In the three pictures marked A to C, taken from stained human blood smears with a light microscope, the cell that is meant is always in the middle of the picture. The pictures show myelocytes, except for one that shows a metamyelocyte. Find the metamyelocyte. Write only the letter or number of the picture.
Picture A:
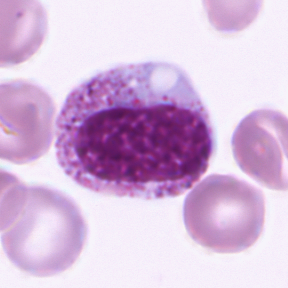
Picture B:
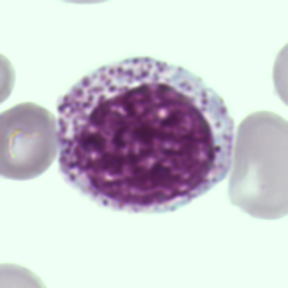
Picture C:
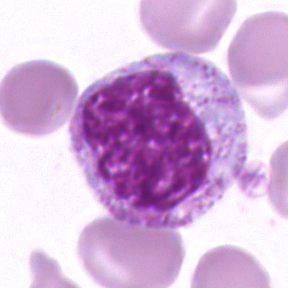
A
